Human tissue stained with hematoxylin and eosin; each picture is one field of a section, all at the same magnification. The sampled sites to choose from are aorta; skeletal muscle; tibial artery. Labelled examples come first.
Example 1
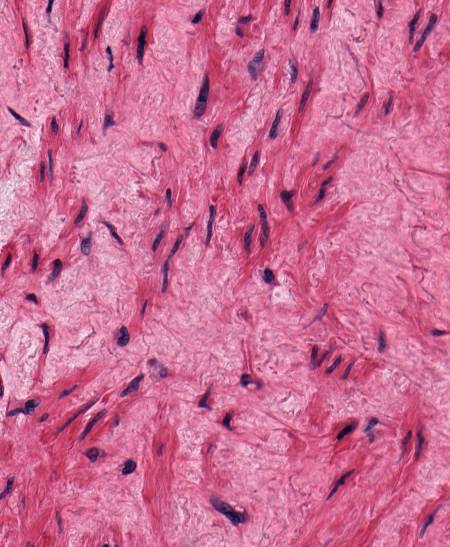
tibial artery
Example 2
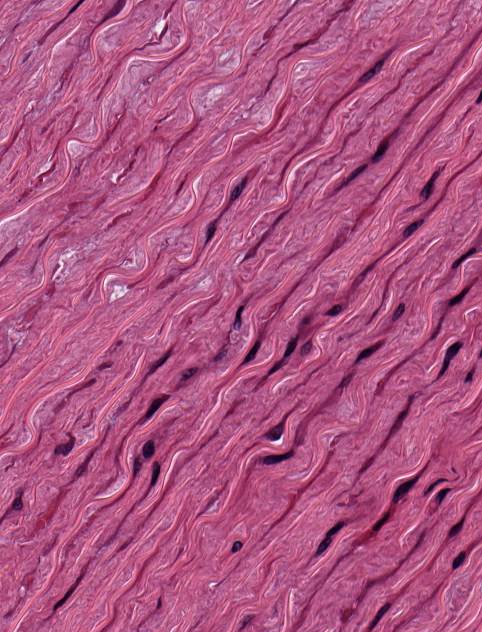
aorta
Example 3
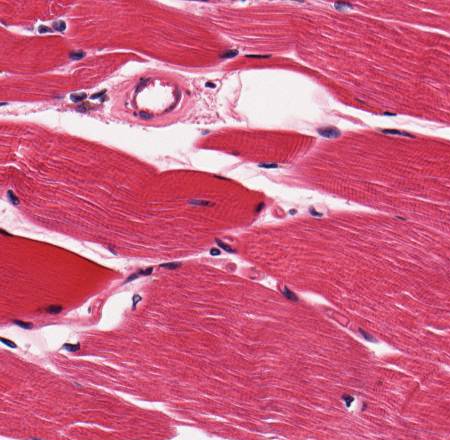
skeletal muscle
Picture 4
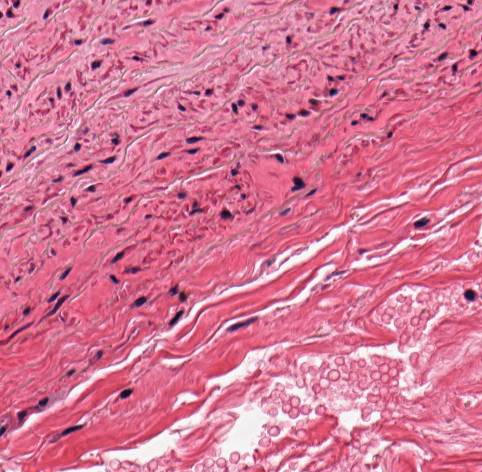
aorta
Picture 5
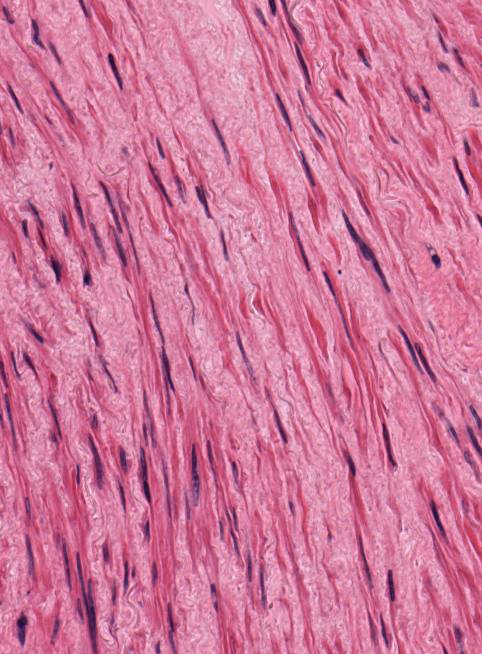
tibial artery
